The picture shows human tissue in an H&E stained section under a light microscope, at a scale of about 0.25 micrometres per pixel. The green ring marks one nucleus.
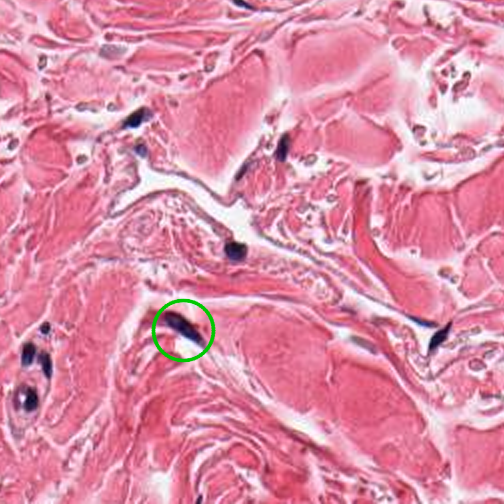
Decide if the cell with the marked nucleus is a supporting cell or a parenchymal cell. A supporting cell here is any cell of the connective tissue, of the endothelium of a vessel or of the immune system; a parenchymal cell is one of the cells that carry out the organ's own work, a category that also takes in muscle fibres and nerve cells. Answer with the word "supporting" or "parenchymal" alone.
supporting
